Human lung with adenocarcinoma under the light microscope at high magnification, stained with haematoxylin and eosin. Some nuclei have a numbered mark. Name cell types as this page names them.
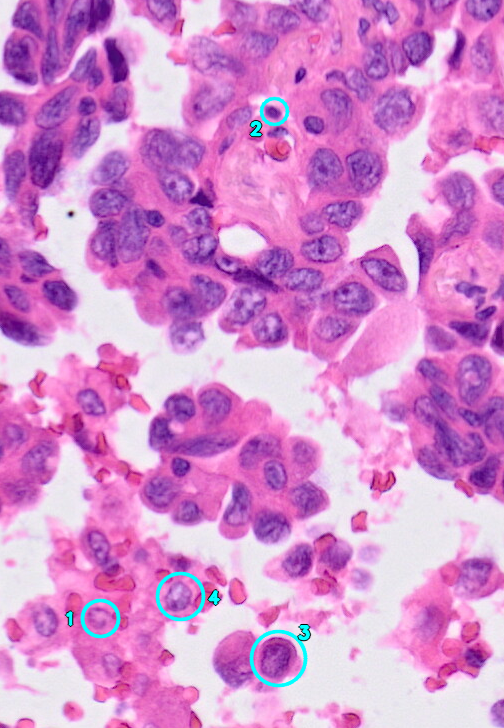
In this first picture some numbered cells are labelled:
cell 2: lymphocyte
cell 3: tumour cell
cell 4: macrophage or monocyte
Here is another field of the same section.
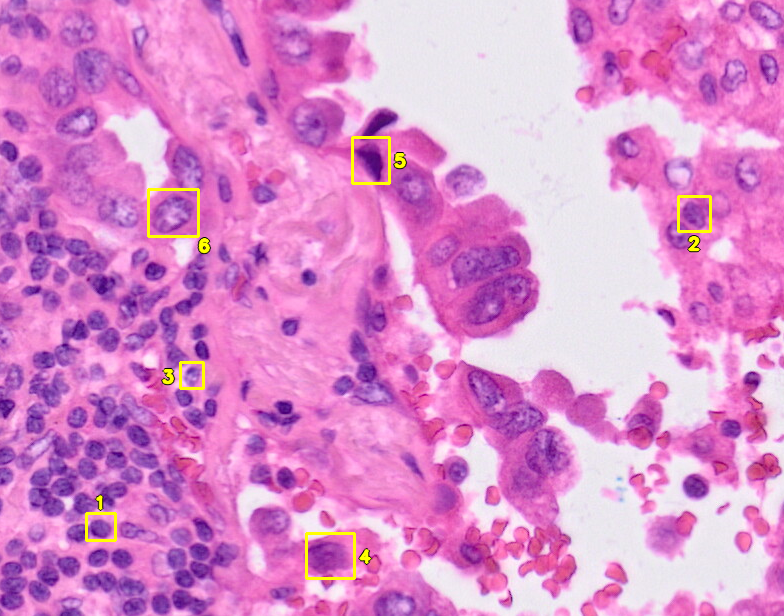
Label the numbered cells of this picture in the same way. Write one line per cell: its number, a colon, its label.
1: lymphocyte
2: macrophage or monocyte
3: lymphocyte
4: tumour cell
5: tumour cell
6: tumour cell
